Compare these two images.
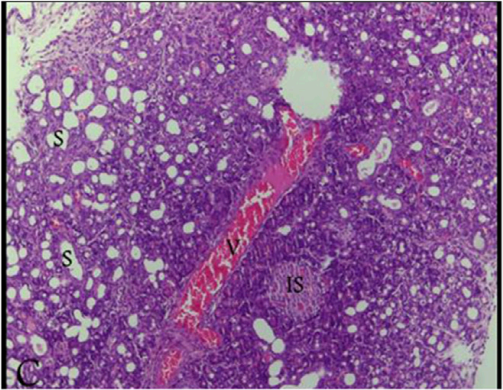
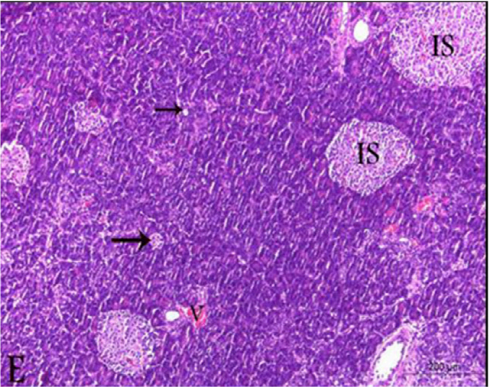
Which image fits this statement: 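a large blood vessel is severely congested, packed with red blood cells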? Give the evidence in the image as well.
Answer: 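Second image: only small vessels with little red content are seen among the lobules. First image: a wide elongated vessel runs across the field filled with red blood cells. So: the first image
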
